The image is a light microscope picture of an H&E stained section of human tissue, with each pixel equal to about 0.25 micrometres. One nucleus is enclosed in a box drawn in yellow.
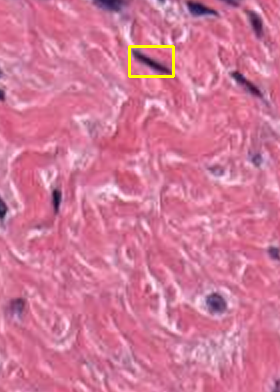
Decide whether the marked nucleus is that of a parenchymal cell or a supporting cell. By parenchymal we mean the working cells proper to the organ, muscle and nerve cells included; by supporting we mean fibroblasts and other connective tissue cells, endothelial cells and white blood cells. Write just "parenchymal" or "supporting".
supporting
